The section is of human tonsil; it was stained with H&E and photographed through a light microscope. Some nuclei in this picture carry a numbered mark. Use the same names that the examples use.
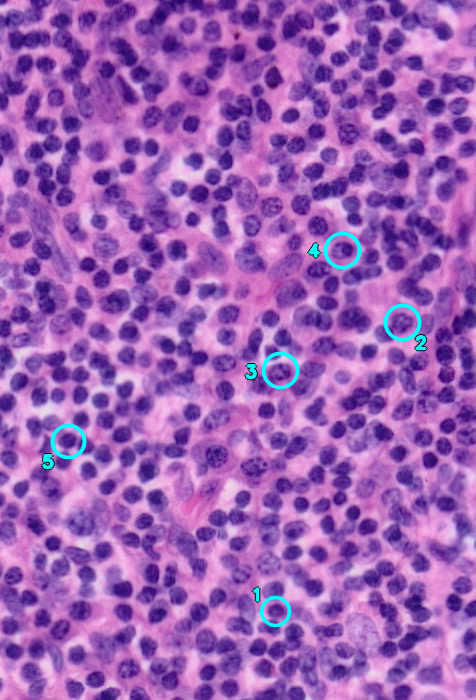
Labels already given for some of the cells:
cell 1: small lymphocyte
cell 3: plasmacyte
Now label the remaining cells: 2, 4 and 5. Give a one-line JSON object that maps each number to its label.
{"2": "plasmacyte", "4": "plasmacyte", "5": "small lymphocyte"}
